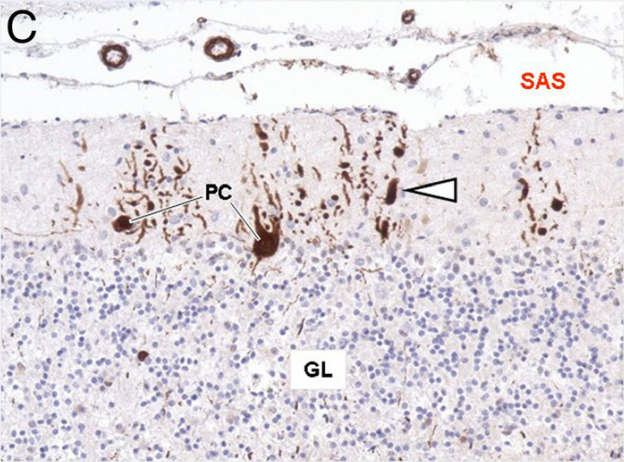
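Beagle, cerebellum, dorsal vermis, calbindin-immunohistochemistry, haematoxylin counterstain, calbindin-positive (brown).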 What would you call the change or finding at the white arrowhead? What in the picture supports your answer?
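The arrowhead points at a thick, dark brown club-shaped process. Brown processes around it are short, beaded and irregularly branched.
Thickening and abnormal arborisation.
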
